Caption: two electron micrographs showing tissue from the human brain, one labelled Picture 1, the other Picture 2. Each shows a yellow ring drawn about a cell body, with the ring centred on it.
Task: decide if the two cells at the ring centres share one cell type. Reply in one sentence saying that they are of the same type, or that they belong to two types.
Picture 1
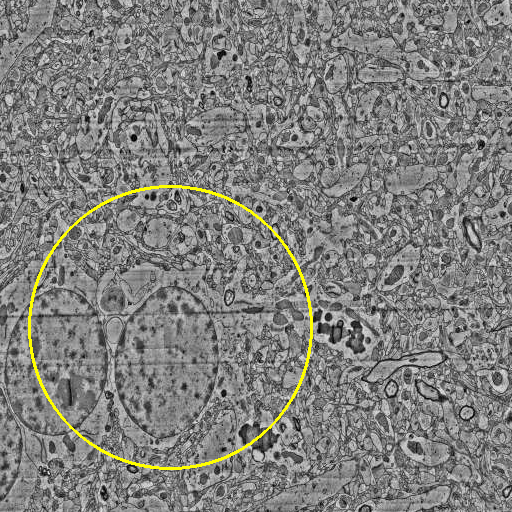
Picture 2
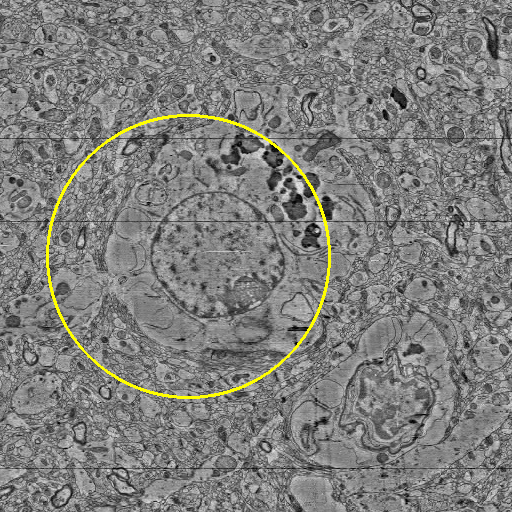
The cells at the ring centres in Picture 1 and Picture 2 are of the same type.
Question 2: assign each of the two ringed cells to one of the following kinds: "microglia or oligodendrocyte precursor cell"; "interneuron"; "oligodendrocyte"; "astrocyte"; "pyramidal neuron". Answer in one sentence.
The cell in the first picture is an astrocyte, and so is the one in the second.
